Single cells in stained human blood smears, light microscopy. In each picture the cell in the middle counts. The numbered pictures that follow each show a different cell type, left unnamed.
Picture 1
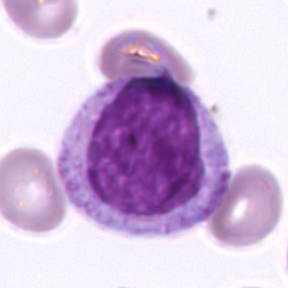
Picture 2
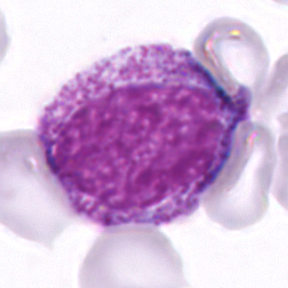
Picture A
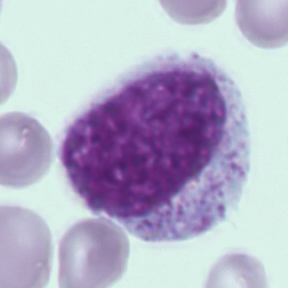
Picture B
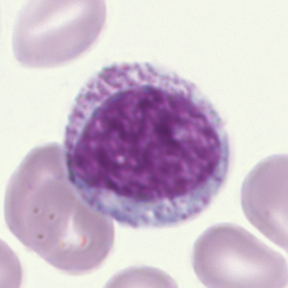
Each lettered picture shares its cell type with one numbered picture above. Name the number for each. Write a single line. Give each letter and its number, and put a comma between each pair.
A 1, B 1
